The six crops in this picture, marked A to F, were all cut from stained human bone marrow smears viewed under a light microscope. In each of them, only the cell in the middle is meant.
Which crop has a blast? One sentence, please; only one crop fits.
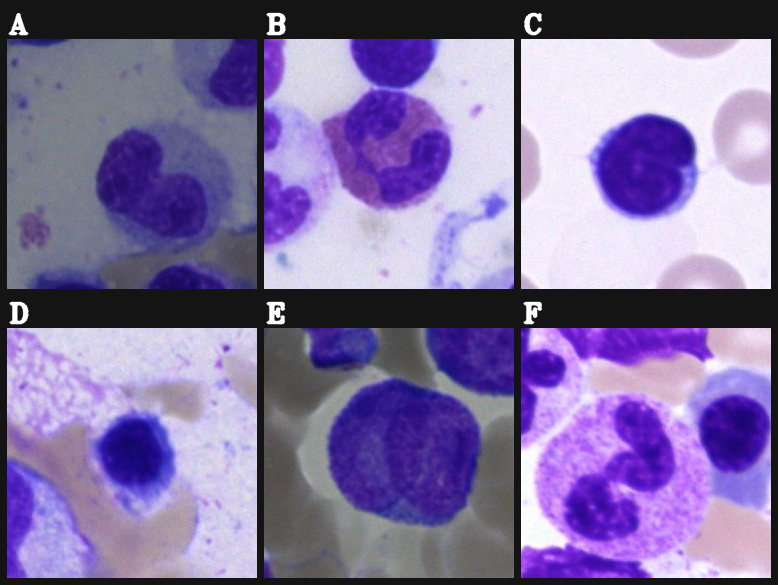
The one crop that shows a blast is crop E.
